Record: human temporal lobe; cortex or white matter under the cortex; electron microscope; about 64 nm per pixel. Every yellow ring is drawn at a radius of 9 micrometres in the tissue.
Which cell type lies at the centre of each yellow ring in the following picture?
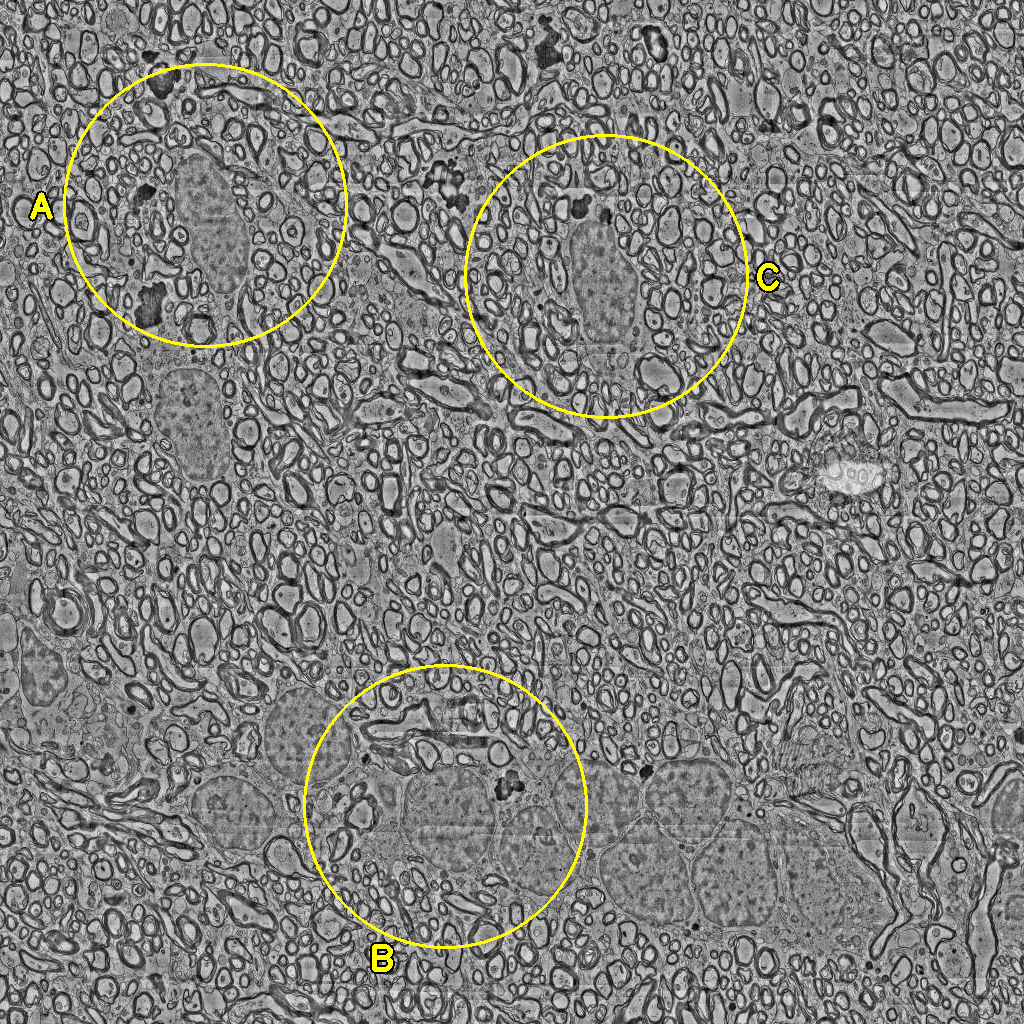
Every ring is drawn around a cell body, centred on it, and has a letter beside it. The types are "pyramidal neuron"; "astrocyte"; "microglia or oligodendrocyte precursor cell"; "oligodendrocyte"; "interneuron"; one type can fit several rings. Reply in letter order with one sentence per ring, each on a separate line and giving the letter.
Ring A marks the cell body of an oligodendrocyte.
Ring B marks the cell body of an oligodendrocyte.
Ring C marks the cell body of an oligodendrocyte.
